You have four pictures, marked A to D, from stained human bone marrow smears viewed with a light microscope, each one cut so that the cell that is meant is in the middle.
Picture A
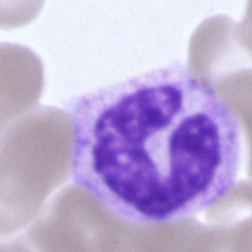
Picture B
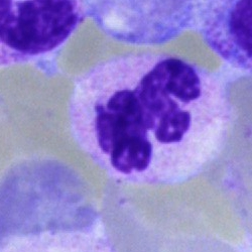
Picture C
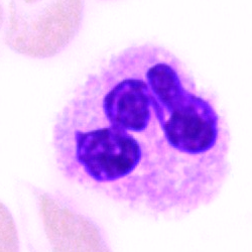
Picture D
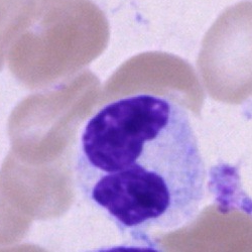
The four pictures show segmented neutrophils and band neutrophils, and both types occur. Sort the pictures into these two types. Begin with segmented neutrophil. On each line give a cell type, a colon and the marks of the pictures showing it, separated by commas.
segmented neutrophil: B, C, D
band neutrophil: A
